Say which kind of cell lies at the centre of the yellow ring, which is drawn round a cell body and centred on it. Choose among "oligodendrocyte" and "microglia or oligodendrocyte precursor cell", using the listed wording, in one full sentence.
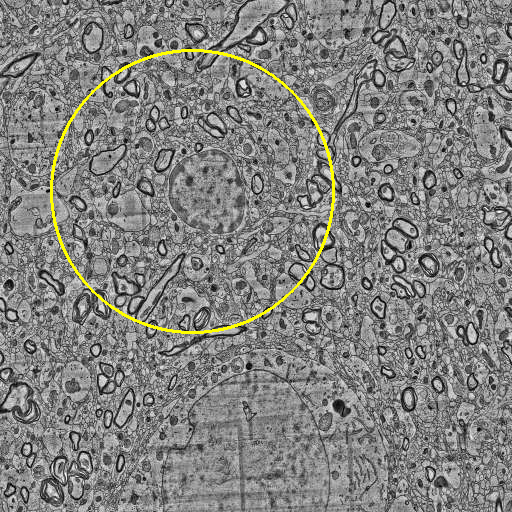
Going by the list, the cell at the yellow ring's centre is a microglial cell or oligodendrocyte precursor cell.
